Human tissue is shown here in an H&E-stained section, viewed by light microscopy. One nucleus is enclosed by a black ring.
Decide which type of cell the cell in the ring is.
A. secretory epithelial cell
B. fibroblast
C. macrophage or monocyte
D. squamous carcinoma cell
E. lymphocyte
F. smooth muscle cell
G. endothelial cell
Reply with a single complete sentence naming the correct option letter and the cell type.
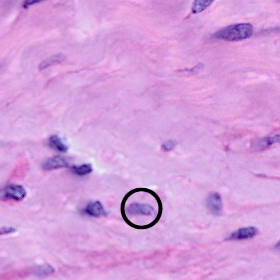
Option B is correct in stating that the cell in the ring is a fibroblast.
